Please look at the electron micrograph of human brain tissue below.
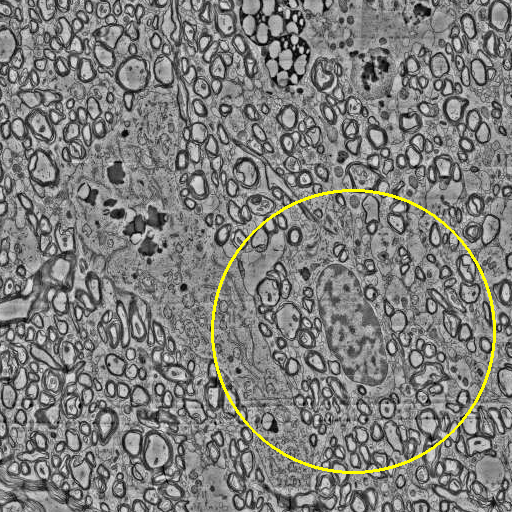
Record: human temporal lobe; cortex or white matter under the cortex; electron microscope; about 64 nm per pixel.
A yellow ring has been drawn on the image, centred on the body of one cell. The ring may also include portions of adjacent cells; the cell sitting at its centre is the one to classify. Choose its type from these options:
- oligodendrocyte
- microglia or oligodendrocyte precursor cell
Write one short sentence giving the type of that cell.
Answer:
The cell in the middle of the ring is a microglial cell or oligodendrocyte precursor cell.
